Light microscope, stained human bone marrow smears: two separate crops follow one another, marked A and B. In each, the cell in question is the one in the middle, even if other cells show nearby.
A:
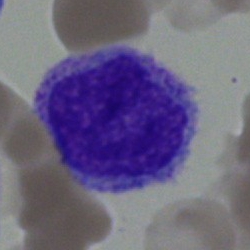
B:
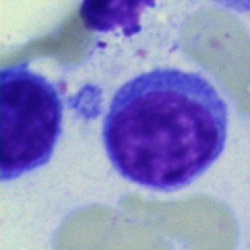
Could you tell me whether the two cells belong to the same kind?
no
